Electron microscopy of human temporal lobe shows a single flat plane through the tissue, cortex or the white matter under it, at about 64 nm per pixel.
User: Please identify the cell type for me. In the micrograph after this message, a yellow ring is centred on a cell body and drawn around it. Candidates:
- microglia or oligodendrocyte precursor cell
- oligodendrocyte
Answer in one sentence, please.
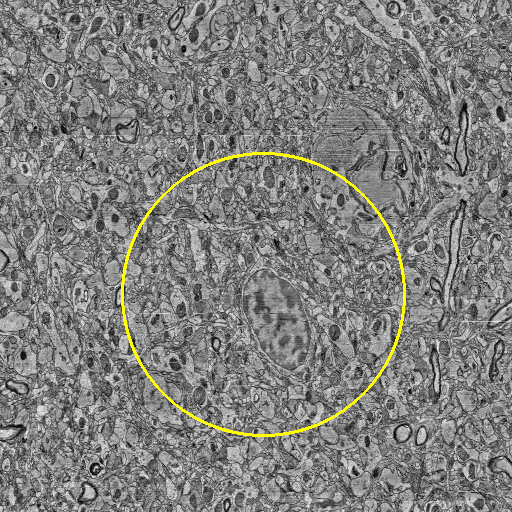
The ring is drawn around the cell body of a microglial cell or oligodendrocyte precursor cell.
